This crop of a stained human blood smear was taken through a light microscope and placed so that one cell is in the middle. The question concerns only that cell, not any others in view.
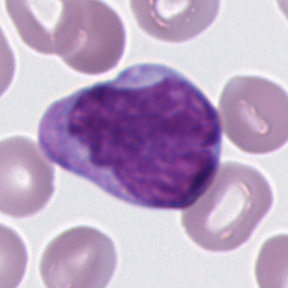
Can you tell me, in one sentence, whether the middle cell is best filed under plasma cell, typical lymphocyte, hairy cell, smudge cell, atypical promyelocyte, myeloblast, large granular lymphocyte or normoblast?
The cell the crop is centered on is an atypical promyelocyte.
